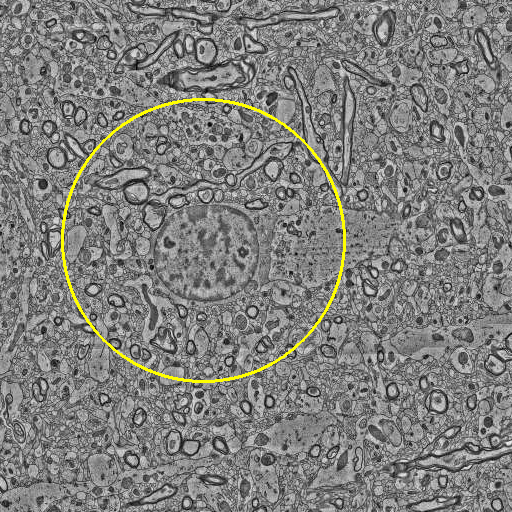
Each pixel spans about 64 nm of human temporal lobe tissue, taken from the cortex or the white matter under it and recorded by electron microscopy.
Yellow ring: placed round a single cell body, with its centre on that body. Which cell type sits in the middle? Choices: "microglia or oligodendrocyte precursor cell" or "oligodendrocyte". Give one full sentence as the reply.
It is an oligodendrocyte whose cell body sits at the centre of the yellow ring.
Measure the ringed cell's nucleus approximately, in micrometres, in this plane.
In this plane, the nucleus measures approximately 7 micrometres across.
